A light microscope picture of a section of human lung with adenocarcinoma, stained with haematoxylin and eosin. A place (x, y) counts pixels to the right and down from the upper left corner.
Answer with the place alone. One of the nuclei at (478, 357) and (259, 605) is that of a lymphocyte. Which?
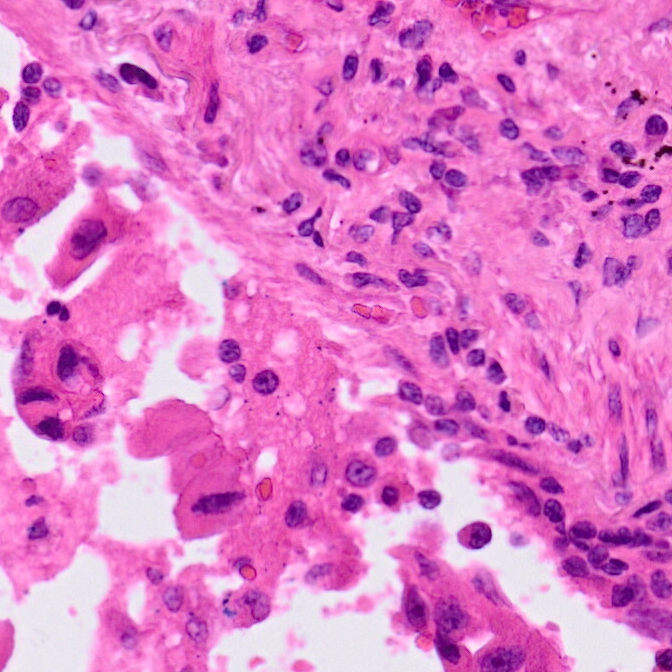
(478, 357)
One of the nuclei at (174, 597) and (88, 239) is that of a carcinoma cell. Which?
(88, 239)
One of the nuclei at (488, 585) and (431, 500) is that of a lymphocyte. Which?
(431, 500)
